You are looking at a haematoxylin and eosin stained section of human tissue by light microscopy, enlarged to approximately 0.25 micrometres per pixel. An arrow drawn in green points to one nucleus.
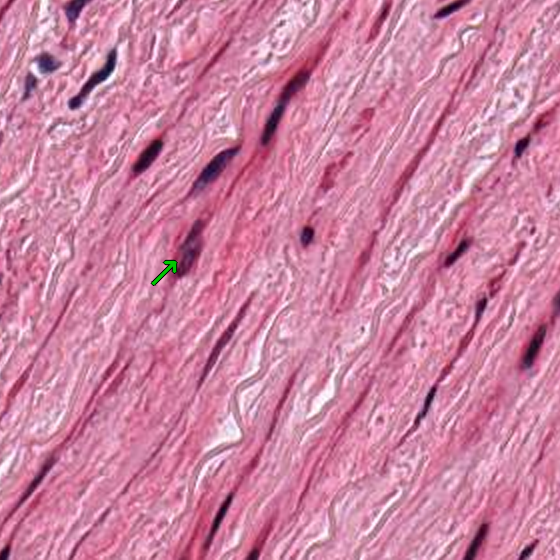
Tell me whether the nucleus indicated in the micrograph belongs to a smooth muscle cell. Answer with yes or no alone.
yes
